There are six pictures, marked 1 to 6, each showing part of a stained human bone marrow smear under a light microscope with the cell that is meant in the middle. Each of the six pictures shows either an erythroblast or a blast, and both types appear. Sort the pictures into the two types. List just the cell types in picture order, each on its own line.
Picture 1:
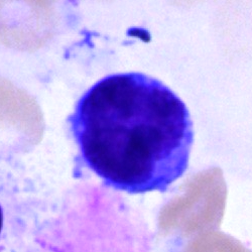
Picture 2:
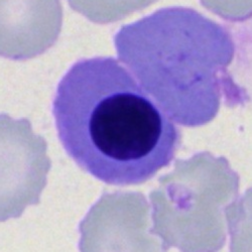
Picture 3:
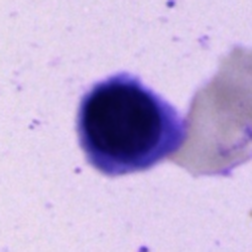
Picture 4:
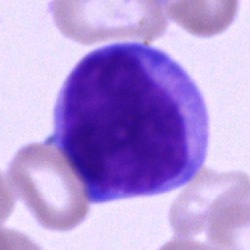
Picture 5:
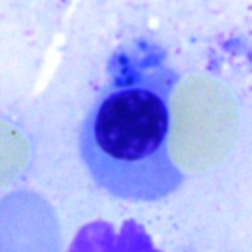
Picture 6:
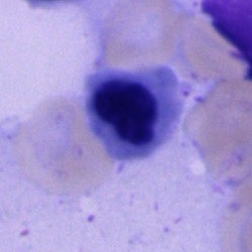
blast
erythroblast
erythroblast
blast
erythroblast
erythroblast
